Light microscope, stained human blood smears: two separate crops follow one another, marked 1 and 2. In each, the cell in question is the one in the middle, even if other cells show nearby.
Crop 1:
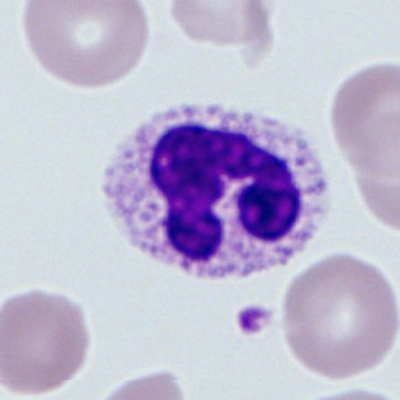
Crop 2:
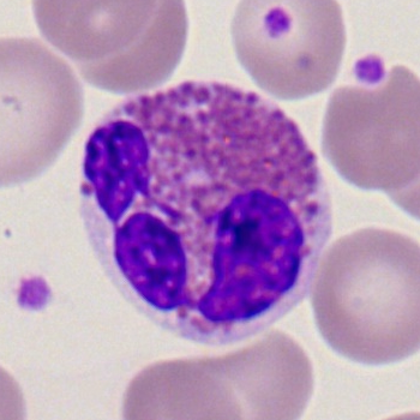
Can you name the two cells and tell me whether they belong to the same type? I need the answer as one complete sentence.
No, crop 1 holds a neutrophil, and an eosinophil occupies crop 2.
